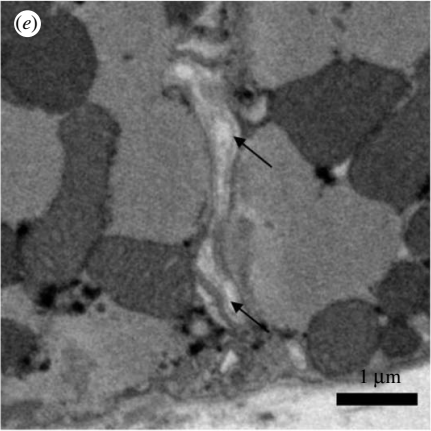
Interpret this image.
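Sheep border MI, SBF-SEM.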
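This shows part of a cardiac muscle cell at high magnification, with grey myofibrils and dark rounded mitochondria. A long light grey t-tubule runs between them towards the cell surface at the lower edge. Its lumen is lined by a thin, slightly darker layer of basement membrane.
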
